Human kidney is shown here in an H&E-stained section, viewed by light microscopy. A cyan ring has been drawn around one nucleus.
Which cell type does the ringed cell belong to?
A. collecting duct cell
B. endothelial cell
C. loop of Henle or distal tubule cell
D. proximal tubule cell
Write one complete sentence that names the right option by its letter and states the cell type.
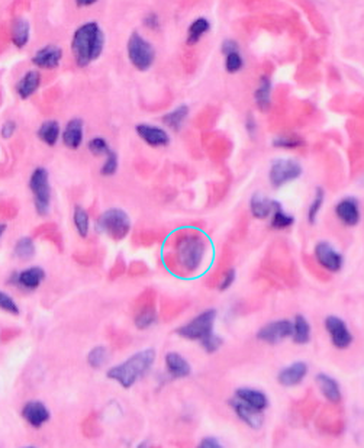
Of the options given, B is right: the ringed cell is an endothelial cell.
